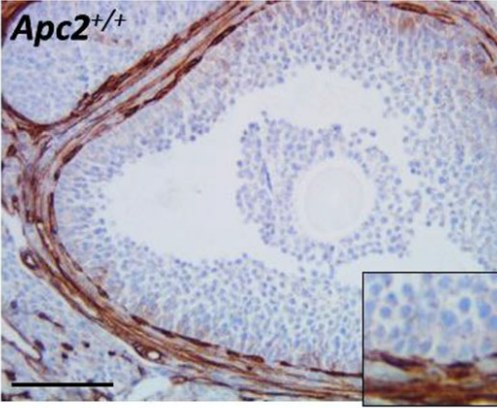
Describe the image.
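Antral ovarian follicle in section. A large round oocyte with a pale thick coat sits centrally in a mound of small densely packed cells projecting into a wide clear cavity. The cavity is lined by many layers of small round cells with blue nuclei and scant cytoplasm. Outside these layers lies a thick concentric band of flattened, spindle-shaped cells, strongly and continuously stained brown, forming a dense ring around the follicle. Brown-stained elongated profiles also appear in the surrounding stroma. The inset shows the boundary between the pale inner cell layers and the brown outer band.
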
